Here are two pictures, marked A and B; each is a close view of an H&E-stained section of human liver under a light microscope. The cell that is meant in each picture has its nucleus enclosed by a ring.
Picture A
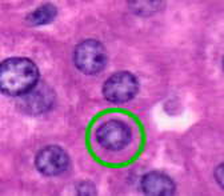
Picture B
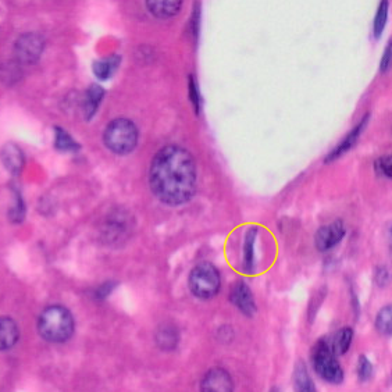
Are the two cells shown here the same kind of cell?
no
